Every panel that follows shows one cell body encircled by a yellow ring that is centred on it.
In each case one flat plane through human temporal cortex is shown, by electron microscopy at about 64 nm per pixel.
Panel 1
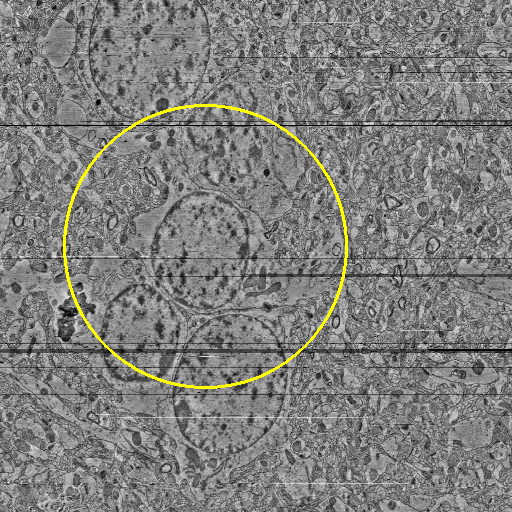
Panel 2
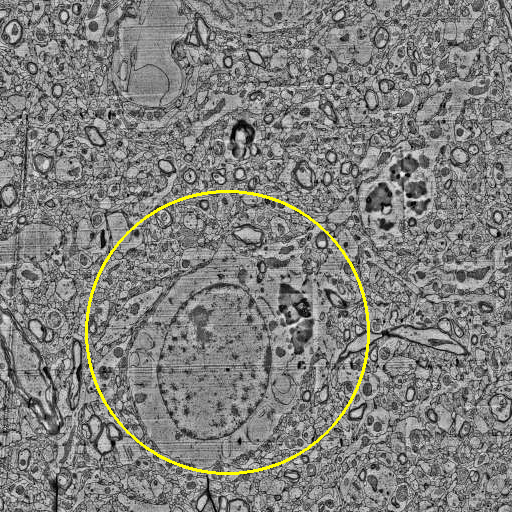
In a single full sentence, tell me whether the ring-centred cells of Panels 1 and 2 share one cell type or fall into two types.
In Panel 1 and Panel 2, the cells at the ring centres share one cell type.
